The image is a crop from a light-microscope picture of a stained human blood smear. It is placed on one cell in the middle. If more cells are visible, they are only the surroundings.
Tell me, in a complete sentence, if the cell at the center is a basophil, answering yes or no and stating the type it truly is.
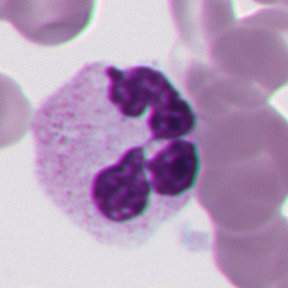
No, sorry, the middle cell is a segmented neutrophil rather than a basophil.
